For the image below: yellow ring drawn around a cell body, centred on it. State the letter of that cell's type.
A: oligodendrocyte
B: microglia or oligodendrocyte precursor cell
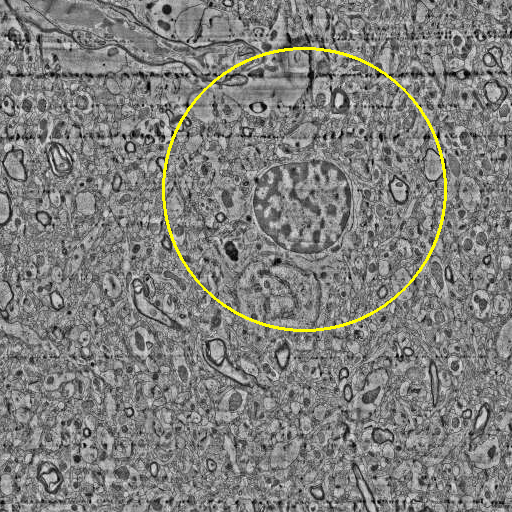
B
